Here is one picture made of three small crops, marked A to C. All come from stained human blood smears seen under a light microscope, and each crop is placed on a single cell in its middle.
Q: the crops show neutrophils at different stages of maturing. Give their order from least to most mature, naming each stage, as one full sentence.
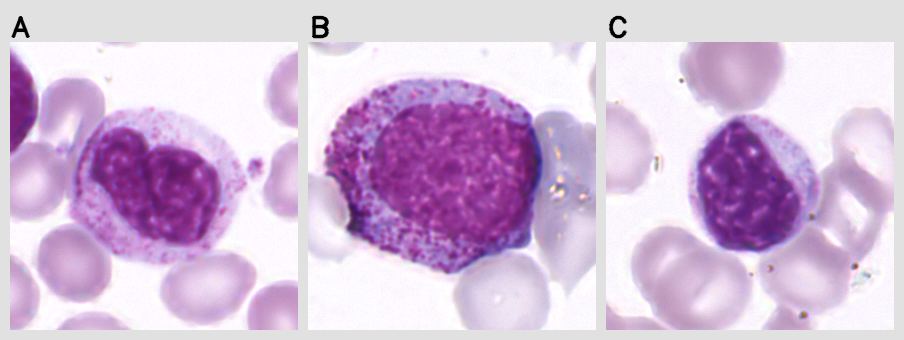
The sequence from earliest to most advanced maturity is crop B (a promyelocyte), crop C (a metamyelocyte) and crop A (a band neutrophil).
